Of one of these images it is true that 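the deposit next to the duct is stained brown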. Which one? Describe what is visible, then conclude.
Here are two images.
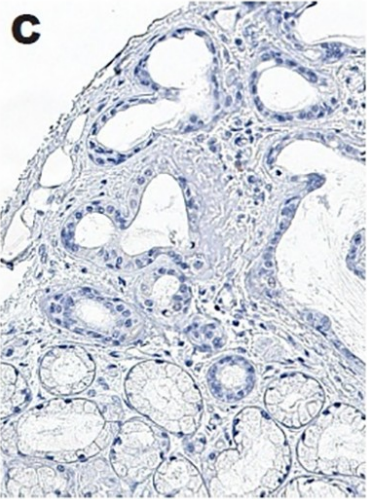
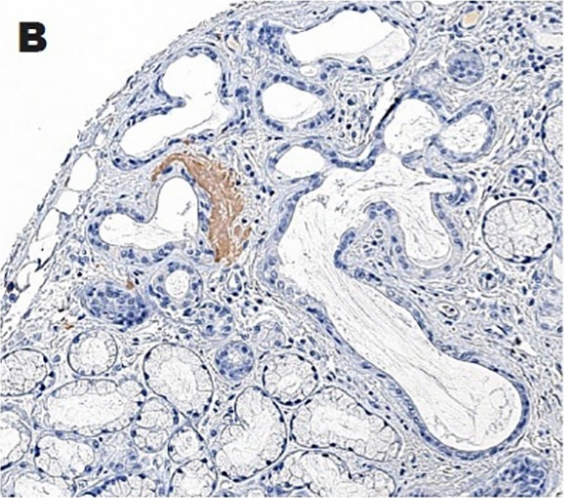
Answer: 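The second image. First image: the pale amorphous deposit beside the duct is grey-blue, without brown. Second image: the deposit beside the duct is intensely brown.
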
